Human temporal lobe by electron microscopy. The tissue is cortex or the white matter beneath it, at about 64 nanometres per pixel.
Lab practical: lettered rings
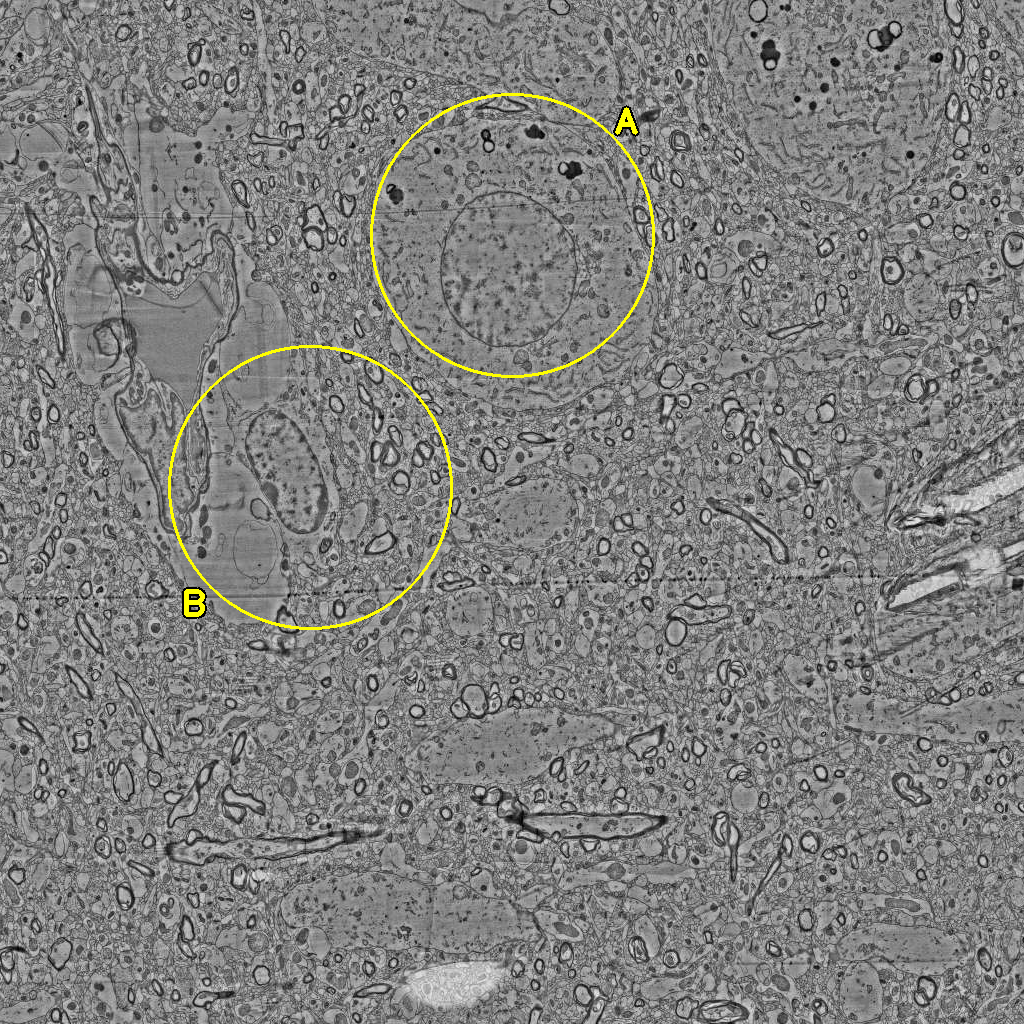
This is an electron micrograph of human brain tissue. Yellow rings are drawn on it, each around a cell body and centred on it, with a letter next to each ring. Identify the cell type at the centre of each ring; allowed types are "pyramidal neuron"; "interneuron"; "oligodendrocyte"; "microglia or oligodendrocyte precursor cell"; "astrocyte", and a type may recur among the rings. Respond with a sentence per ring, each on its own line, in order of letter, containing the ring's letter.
Lying at the centre of ring A is a pyramidal neuron.
Lying at the centre of ring B is a microglial cell or oligodendrocyte precursor cell.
